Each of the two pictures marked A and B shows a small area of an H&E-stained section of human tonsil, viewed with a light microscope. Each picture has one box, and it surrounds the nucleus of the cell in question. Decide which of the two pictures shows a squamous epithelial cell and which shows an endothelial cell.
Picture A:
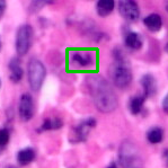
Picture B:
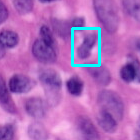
A: endothelial cell
B: squamous epithelial cell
